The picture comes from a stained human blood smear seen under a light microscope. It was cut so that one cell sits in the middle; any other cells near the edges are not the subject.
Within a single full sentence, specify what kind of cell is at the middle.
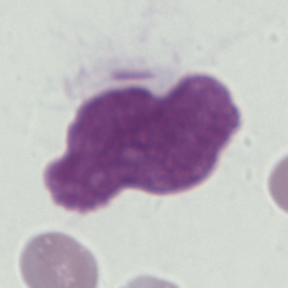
The crop shows a smudge cell in its centre.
